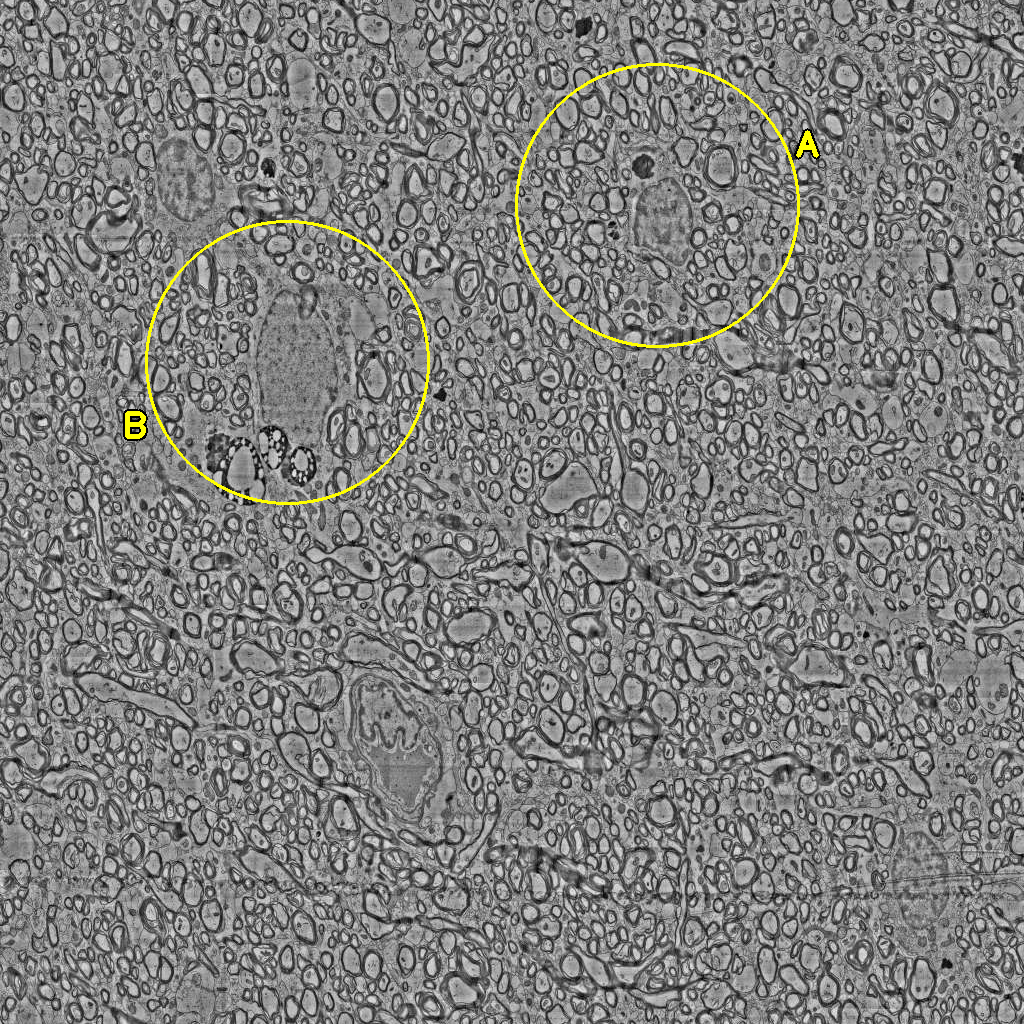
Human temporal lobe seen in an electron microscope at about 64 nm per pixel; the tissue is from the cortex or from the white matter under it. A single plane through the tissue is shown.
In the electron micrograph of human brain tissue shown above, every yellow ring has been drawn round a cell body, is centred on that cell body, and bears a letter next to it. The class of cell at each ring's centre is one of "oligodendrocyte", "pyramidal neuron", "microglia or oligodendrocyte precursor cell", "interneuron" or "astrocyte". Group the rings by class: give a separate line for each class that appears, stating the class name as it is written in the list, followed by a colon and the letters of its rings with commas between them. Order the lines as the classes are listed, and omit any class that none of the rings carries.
oligodendrocyte: A
astrocyte: B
